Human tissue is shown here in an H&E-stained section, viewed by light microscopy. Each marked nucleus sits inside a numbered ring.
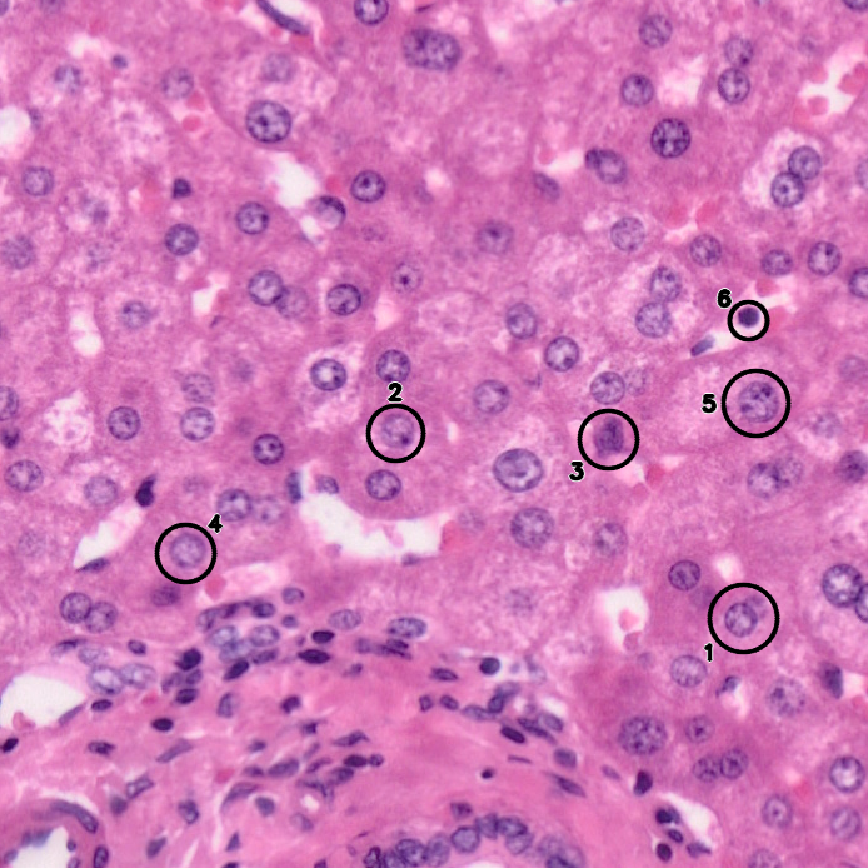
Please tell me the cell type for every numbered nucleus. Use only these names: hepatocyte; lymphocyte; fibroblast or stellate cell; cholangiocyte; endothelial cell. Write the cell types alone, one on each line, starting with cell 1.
hepatocyte
hepatocyte
fibroblast or stellate cell
hepatocyte
hepatocyte
lymphocyte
